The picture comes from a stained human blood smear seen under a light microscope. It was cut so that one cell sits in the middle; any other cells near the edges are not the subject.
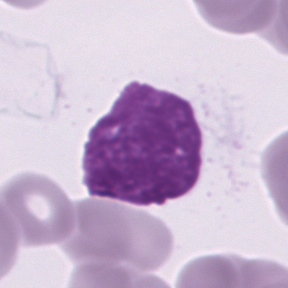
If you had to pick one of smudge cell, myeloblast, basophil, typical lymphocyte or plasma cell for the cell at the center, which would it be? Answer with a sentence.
The crop shows a smudge cell in its centre.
